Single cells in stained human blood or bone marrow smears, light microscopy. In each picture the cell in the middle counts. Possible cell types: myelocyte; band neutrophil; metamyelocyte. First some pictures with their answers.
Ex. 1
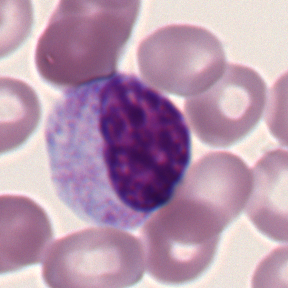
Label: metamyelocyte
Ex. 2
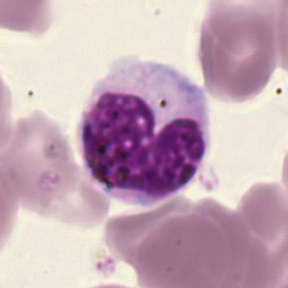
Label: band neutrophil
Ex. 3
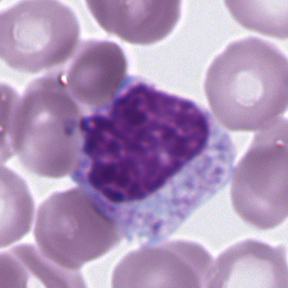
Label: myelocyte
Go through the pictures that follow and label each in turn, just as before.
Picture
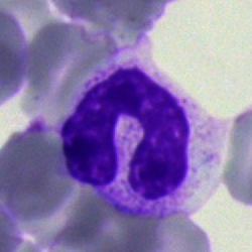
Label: band neutrophil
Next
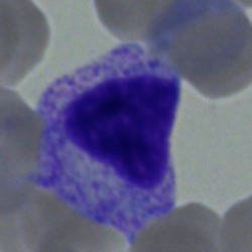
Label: myelocyte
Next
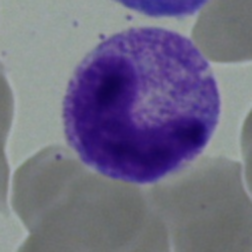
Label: band neutrophil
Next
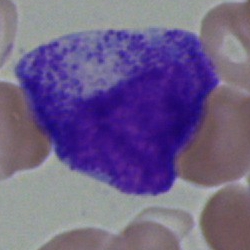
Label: myelocyte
